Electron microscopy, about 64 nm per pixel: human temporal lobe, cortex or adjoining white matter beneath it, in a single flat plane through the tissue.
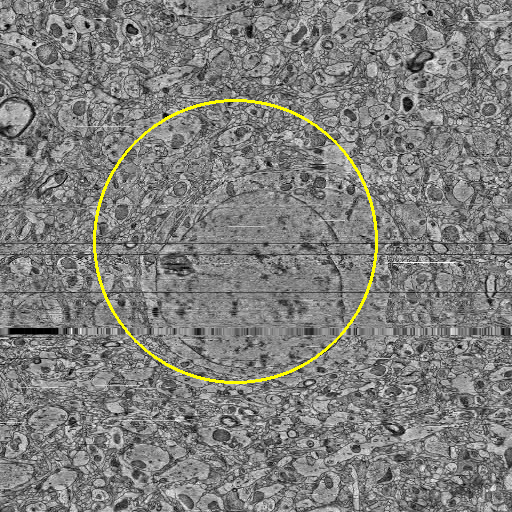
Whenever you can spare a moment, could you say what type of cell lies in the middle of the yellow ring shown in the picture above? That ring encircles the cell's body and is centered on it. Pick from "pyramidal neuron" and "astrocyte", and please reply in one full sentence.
The cell whose body sits at the middle of the yellow ring is a pyramidal neuron.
